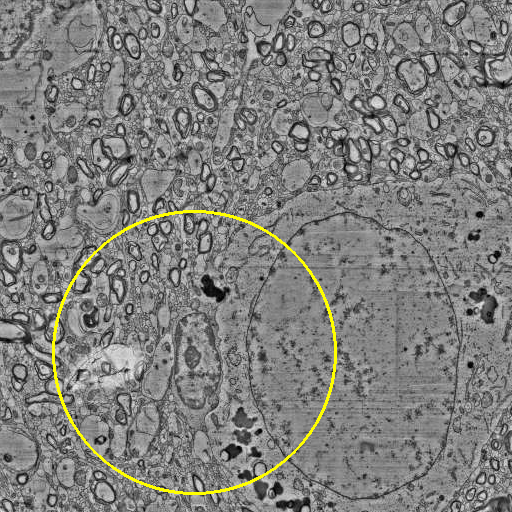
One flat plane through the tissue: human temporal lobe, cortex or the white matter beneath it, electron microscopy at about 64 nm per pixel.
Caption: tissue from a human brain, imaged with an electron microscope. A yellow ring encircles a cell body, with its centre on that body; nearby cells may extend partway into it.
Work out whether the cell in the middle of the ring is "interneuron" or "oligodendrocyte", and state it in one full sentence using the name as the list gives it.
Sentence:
In the picture, the cell that the yellow ring surrounds at its centre is an oligodendrocyte.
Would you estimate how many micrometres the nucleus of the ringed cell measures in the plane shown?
The nucleus of the ringed cell is clearly longer than it is wide in this plane, about 6 by 3 micrometres.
